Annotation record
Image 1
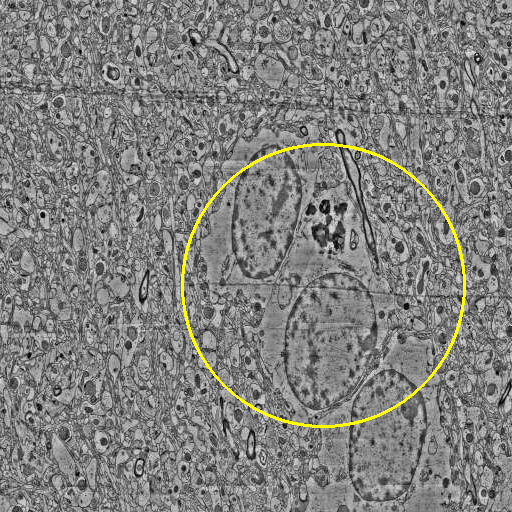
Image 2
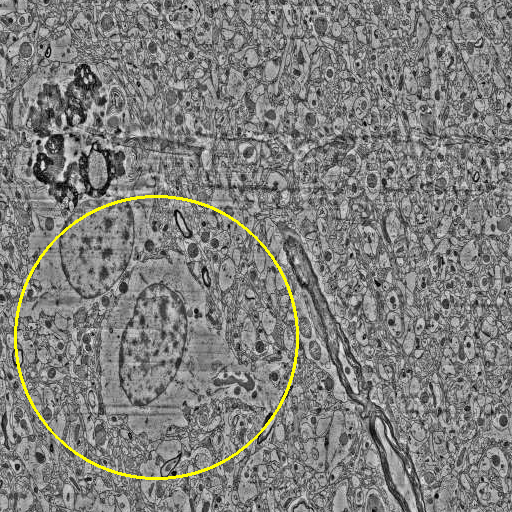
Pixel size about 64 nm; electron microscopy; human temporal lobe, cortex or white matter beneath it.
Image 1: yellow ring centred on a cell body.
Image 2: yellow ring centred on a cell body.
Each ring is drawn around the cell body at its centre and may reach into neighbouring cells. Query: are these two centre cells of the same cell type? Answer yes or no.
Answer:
yes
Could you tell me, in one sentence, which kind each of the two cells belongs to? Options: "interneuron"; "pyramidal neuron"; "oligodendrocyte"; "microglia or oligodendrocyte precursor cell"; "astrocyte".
The cell at the ring centre is an astrocyte in both pictures.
